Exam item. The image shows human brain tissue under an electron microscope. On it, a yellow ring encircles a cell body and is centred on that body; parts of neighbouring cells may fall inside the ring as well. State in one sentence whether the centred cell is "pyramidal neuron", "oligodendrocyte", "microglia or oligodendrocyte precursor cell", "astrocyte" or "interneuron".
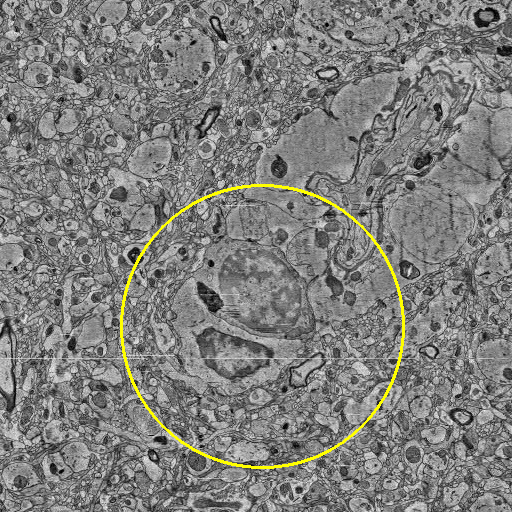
The cell body centred in the ring is an oligodendrocyte.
